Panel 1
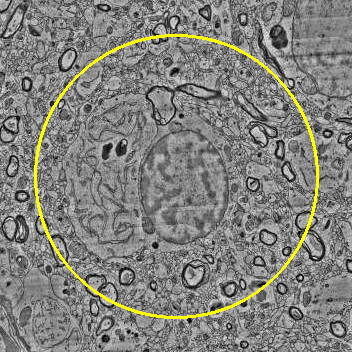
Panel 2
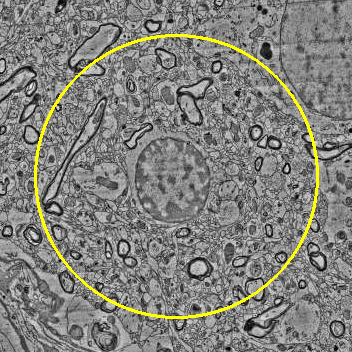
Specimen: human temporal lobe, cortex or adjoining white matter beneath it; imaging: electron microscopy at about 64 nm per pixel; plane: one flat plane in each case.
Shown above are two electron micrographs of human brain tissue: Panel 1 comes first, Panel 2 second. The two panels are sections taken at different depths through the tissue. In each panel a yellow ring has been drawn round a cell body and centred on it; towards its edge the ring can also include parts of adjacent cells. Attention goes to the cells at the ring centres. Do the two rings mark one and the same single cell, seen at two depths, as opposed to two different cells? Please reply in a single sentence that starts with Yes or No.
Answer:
Yes, one and the same cell lies under both rings.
